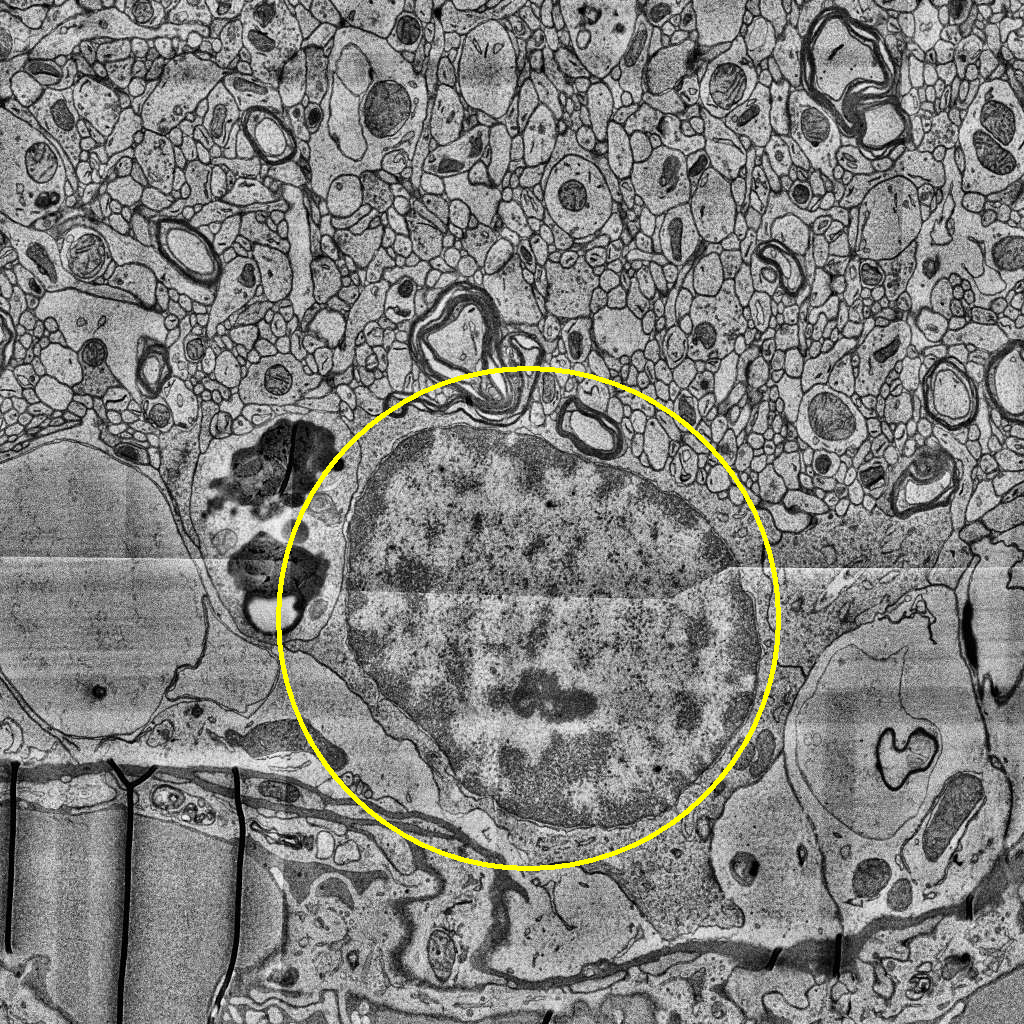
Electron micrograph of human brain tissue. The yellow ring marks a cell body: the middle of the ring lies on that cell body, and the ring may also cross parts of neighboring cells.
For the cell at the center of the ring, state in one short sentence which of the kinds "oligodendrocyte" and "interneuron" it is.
This ring's center lies on an oligodendrocyte.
